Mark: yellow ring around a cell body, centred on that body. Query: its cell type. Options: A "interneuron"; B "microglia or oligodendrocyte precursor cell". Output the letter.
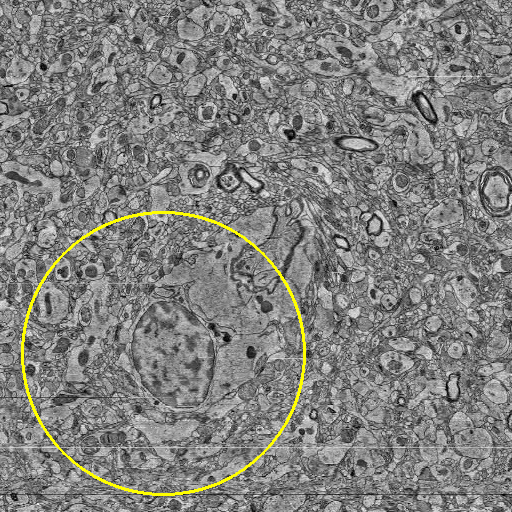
B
